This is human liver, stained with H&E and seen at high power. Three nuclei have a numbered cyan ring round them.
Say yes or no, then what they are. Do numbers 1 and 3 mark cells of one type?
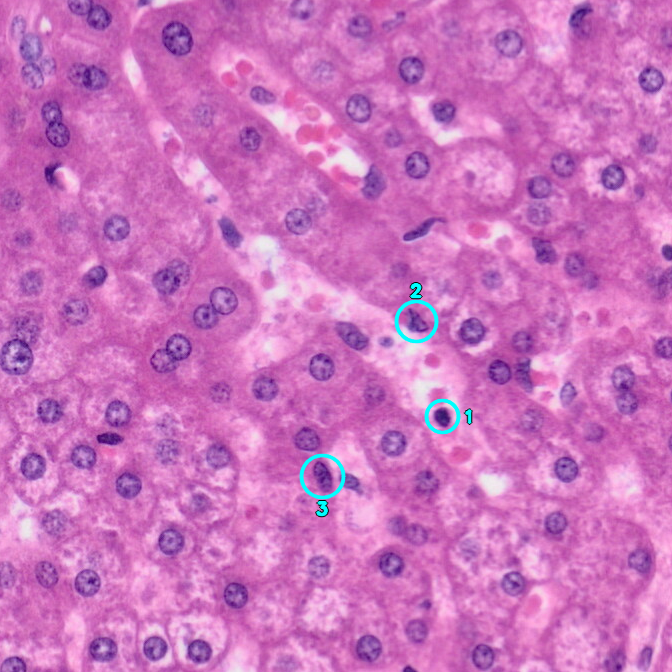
No, the cell at number 1 is a lymphocyte, and the cell at number 3 is a fibroblast or stellate cell.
